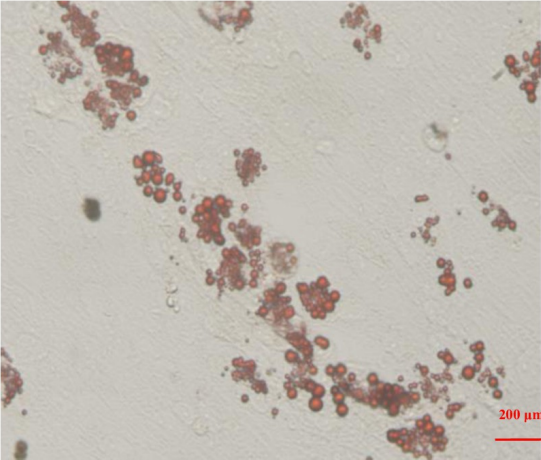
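Cultured enlarged adipocytes whose cytoplasmic droplets stain red, seen as clusters of round red droplets of differing sizes. The clusters lie in groups and bands over a pale, unstained background layer.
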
